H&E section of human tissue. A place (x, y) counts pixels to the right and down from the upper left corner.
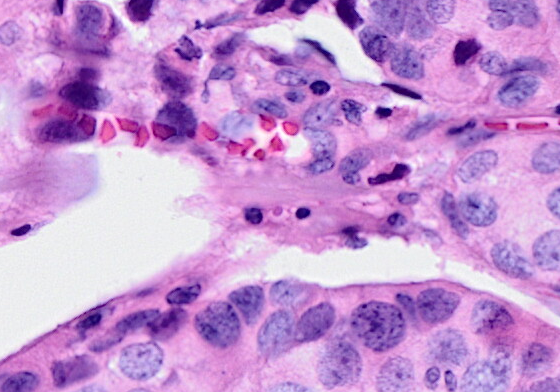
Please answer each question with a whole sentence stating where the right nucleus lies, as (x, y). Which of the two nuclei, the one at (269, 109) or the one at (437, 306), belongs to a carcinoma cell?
The nucleus whose position is (437, 306) belongs to a carcinoma cell.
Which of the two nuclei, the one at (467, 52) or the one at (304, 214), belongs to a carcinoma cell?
The nucleus of the pair that lies within a carcinoma cell is at (467, 52).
